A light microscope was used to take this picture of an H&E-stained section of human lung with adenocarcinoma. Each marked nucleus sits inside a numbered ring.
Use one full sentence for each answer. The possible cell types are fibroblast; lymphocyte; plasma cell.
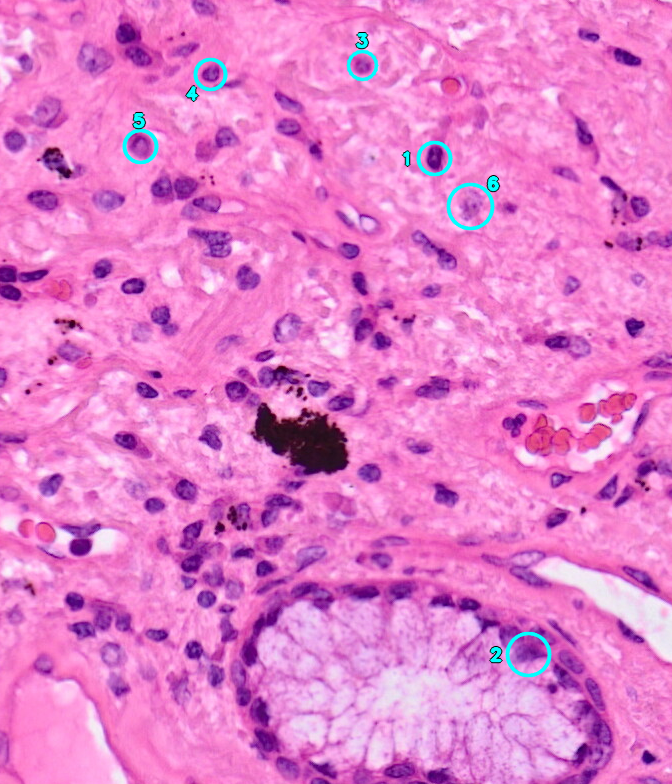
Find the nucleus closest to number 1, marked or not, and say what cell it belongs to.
It is a fibroblast whose nucleus is nearest to number 1.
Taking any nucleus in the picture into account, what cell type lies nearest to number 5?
Closest to number 5 lies the nucleus of a plasma cell.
